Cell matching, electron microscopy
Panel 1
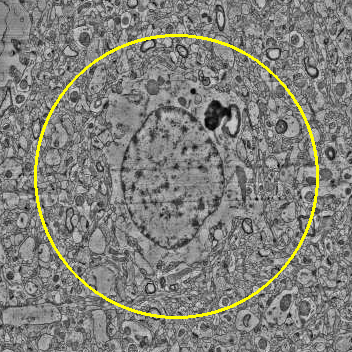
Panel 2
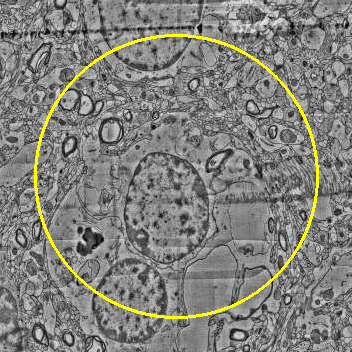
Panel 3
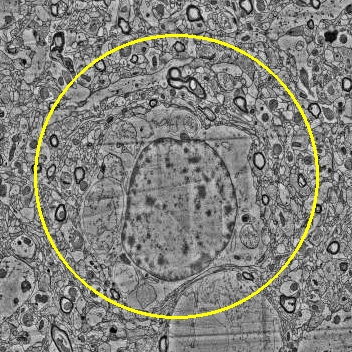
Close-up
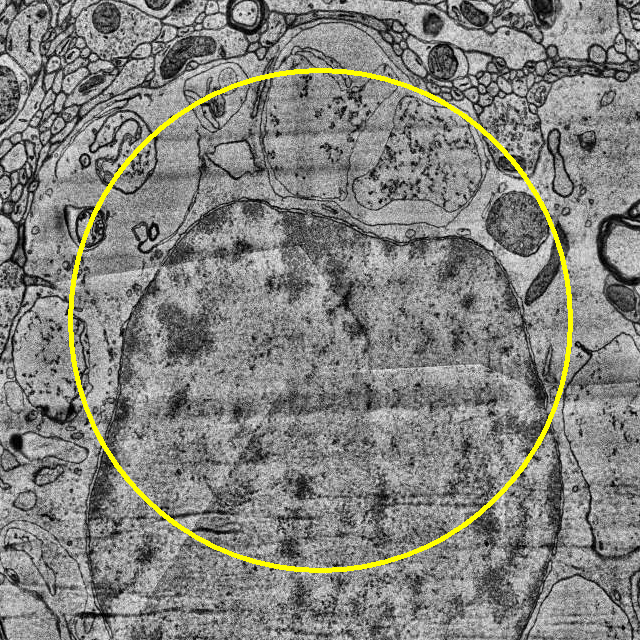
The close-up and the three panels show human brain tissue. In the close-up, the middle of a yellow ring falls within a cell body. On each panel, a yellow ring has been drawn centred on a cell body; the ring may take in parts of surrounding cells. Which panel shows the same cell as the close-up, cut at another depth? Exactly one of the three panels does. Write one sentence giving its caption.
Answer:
The enlargement corresponds to the cell circled in Panel 3.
